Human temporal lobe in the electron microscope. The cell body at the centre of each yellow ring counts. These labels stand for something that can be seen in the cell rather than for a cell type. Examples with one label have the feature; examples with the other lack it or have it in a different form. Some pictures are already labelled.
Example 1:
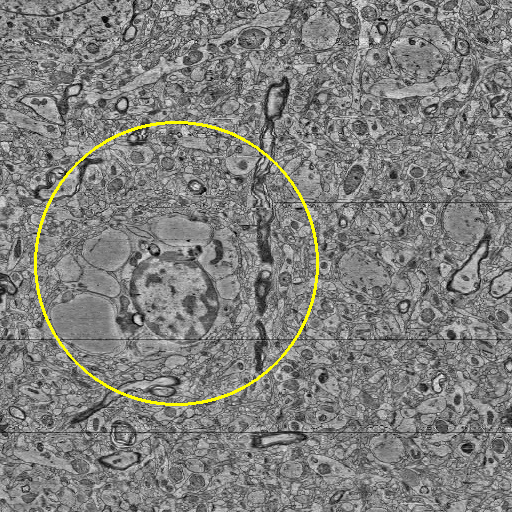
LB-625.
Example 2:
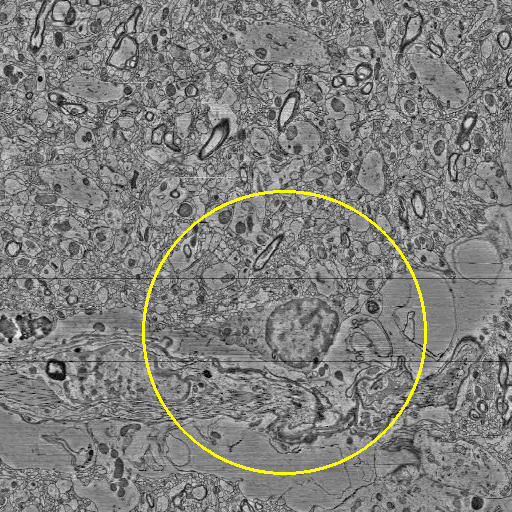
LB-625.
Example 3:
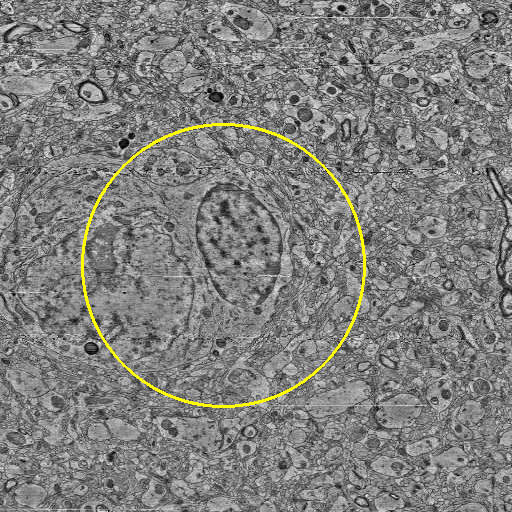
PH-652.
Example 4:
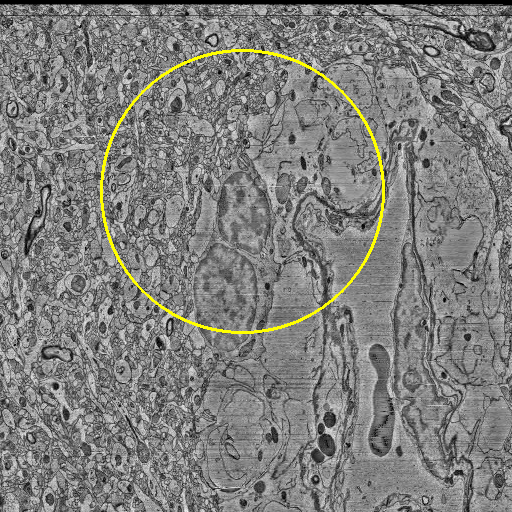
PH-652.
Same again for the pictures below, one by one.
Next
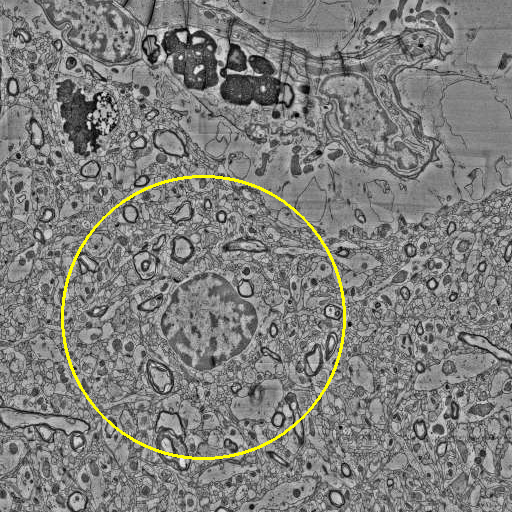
LB-625.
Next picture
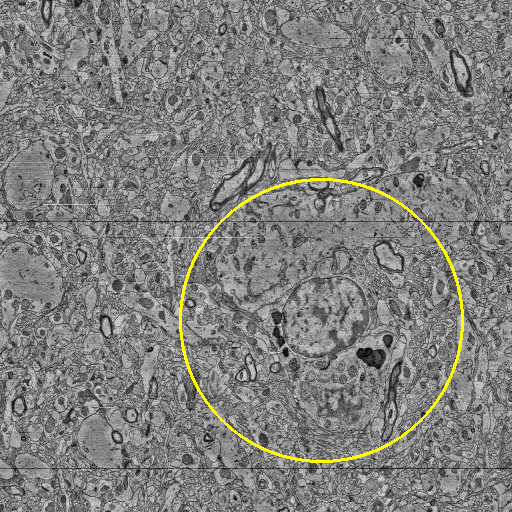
LB-625.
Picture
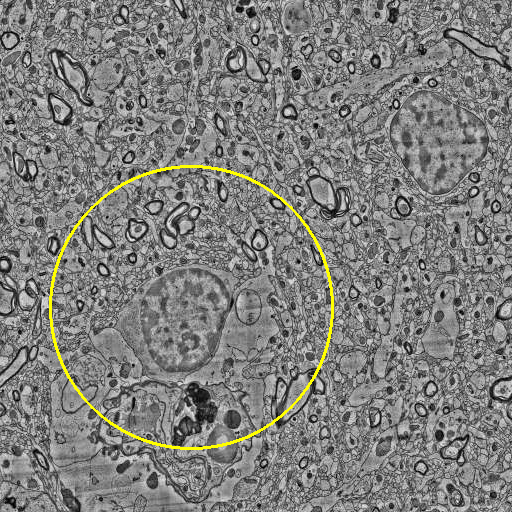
LB-625.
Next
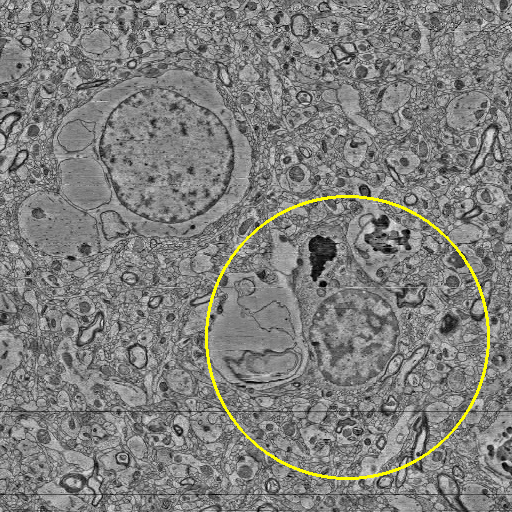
LB-625.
